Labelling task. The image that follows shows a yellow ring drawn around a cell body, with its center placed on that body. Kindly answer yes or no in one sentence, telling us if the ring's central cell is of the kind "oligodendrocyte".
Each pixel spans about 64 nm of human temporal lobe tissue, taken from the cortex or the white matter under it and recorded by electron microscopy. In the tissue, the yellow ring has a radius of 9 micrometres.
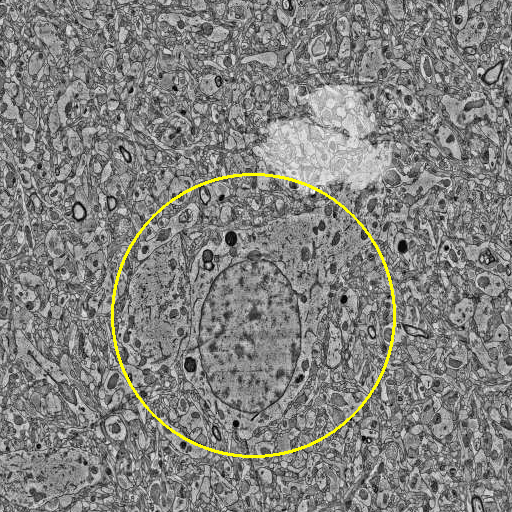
No, in this image the cell at the ring's center is of a different kind.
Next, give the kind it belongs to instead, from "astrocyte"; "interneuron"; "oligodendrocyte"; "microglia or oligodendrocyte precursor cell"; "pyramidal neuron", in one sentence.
Instead, what sits at the centre of the ring is a pyramidal neuron.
